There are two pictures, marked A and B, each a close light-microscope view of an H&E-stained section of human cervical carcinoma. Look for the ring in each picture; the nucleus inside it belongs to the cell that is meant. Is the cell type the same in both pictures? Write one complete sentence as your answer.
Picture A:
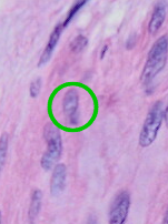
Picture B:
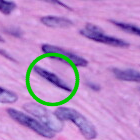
No, the types are not the same, since picture A shows a smooth muscle cell and picture B a fibroblast.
